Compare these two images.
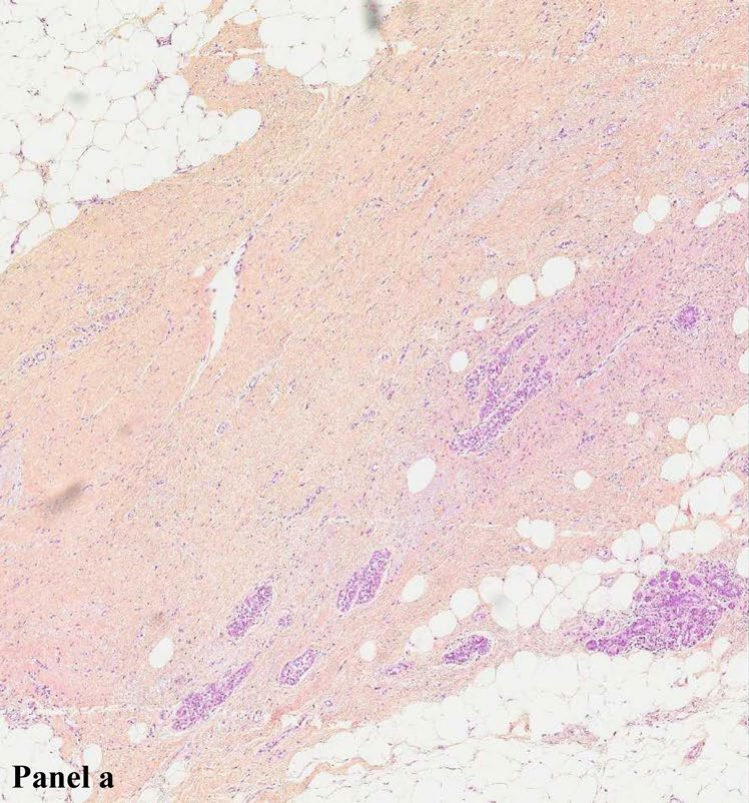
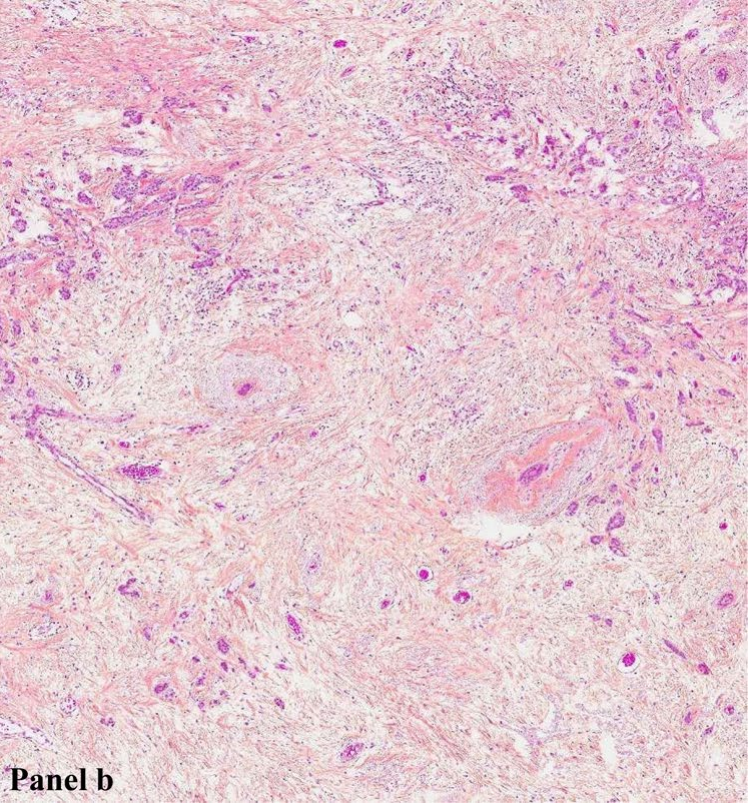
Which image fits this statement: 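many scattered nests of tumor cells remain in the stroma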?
the second image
